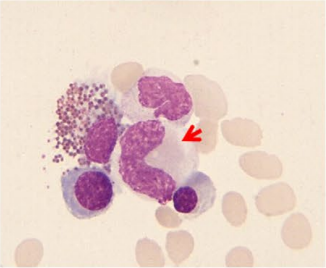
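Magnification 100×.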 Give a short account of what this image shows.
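This bone marrow smear shows a small group of granulocytes and precursors among pale red cells. The arrowed cell has a long, curved nucleus bent like a band or horseshoe, of fairly even width and not pinched into separate lobes. Its cytoplasm is pale. Next to it lies a cell whose many coarse reddish granules have spilled out beside it, and below are smaller cells with round, dark purple nuclei and a rim of blue cytoplasm.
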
